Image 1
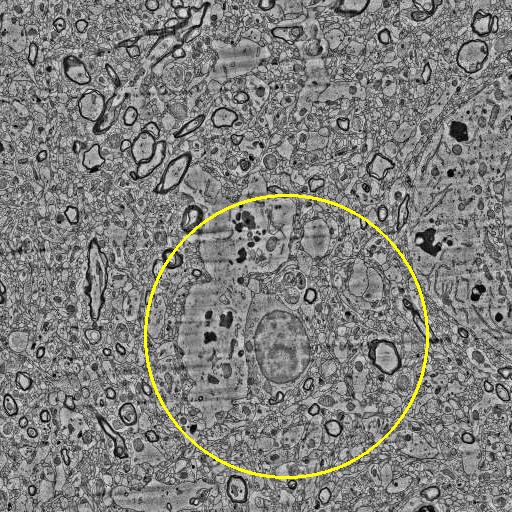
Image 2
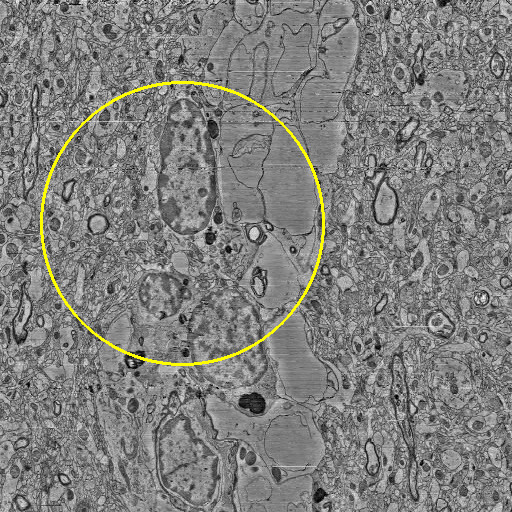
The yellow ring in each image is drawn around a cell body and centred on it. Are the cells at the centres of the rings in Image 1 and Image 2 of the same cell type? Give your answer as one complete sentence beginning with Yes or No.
No, the two cells are of two separate types.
